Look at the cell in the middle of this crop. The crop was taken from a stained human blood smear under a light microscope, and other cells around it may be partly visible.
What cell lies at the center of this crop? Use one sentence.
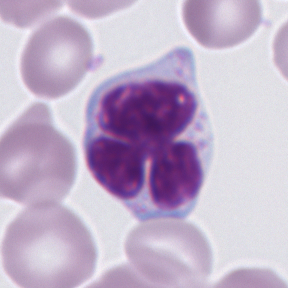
The center cell of this crop is a large granular lymphocyte.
